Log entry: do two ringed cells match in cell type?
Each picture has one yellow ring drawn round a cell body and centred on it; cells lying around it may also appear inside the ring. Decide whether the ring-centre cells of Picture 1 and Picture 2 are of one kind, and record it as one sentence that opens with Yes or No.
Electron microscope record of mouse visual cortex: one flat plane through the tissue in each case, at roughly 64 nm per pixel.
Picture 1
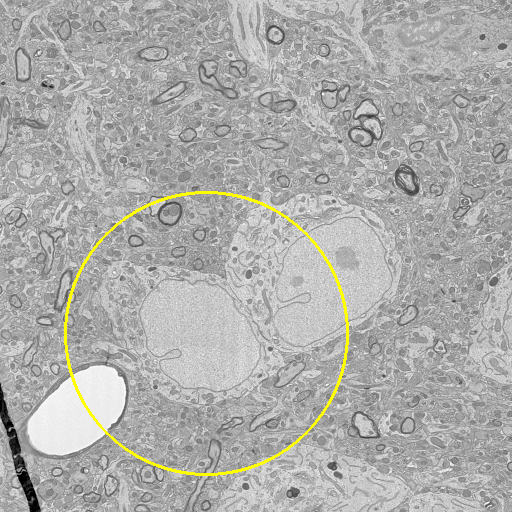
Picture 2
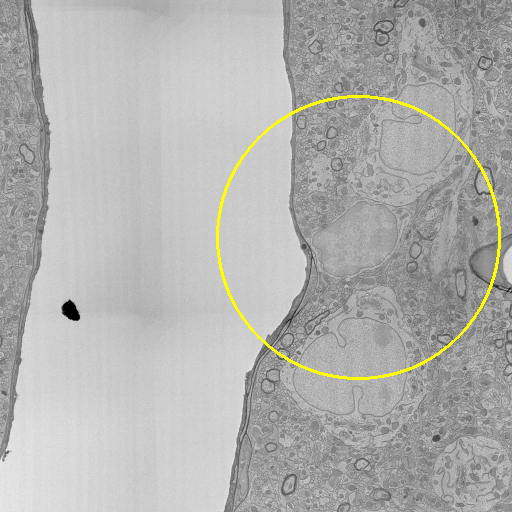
No, the cells at the ring centres of the two pictures belong to two kinds.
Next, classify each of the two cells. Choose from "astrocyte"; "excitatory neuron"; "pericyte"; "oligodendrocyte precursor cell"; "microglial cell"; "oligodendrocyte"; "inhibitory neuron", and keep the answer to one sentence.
In the first picture it is an excitatory neuron; in the second it is a microglial cell.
